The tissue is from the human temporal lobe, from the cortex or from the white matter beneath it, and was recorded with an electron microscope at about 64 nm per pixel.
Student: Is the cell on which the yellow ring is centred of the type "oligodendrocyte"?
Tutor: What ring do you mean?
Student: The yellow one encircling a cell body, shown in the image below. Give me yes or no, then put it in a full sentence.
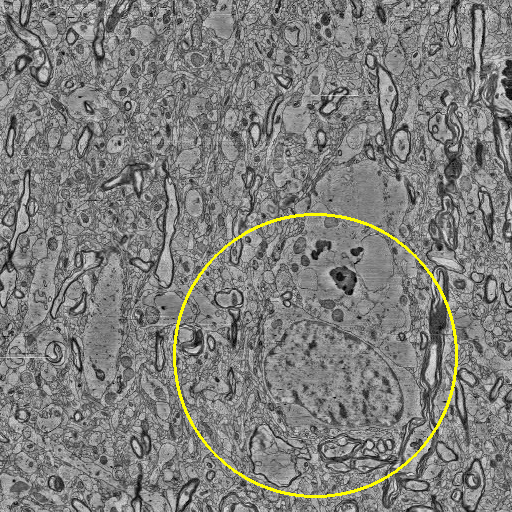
No, the cell on which the yellow ring in the image is centred has a different type.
